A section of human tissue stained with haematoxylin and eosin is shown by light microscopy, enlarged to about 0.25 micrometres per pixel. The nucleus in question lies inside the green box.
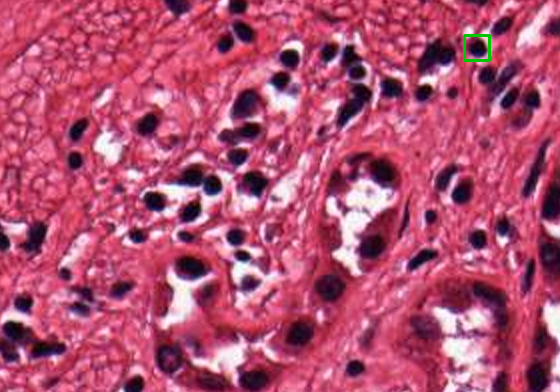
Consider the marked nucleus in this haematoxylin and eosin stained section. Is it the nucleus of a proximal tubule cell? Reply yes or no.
no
